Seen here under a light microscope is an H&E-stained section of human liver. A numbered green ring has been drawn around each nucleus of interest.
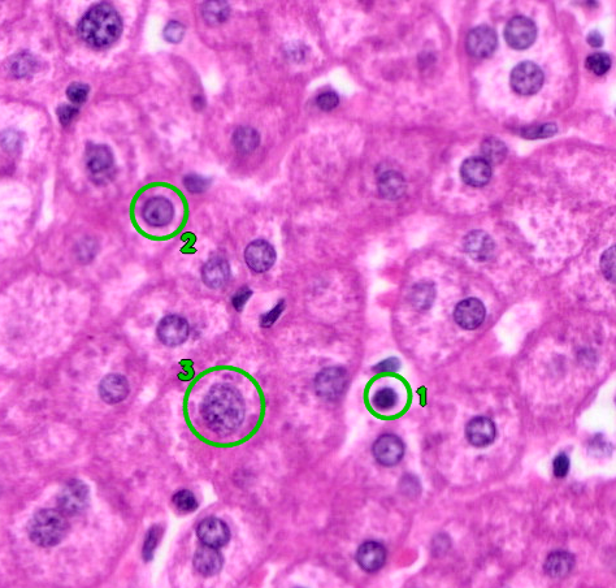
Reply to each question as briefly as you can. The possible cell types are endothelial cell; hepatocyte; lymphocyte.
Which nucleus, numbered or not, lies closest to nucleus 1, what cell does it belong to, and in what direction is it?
a lymphocyte, above nucleus 1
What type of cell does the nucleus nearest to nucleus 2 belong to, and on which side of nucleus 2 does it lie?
an endothelial cell, above and to the right of nucleus 2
